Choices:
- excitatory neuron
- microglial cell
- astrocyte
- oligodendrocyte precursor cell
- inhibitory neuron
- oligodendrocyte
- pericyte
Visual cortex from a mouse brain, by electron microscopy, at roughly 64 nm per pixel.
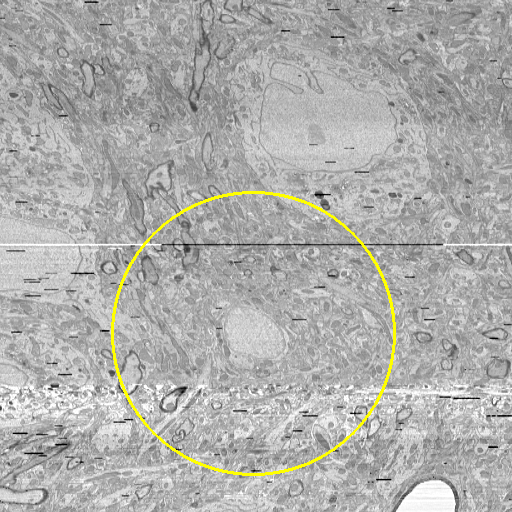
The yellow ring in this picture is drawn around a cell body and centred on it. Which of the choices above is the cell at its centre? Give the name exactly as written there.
oligodendrocyte precursor cell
